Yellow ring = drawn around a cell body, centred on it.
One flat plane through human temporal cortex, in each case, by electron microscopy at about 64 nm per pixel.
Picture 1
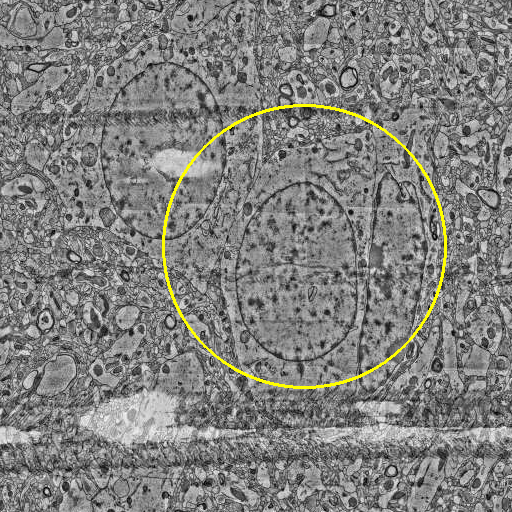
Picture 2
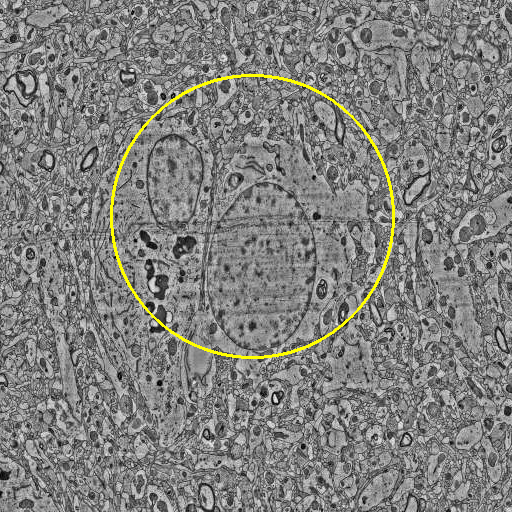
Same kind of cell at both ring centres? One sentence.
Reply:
No, they are two kinds of cell.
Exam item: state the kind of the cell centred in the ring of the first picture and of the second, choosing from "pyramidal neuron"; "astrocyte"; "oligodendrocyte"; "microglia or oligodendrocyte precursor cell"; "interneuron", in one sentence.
The first picture shows a pyramidal neuron at the ring centre and the second shows an astrocyte.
